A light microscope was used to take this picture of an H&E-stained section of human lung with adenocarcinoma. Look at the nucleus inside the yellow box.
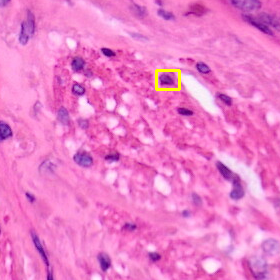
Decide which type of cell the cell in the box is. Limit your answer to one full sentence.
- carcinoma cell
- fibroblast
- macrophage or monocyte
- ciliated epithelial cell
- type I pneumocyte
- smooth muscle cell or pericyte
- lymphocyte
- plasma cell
Students should answer that the cell in the box is a smooth muscle cell or pericyte.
